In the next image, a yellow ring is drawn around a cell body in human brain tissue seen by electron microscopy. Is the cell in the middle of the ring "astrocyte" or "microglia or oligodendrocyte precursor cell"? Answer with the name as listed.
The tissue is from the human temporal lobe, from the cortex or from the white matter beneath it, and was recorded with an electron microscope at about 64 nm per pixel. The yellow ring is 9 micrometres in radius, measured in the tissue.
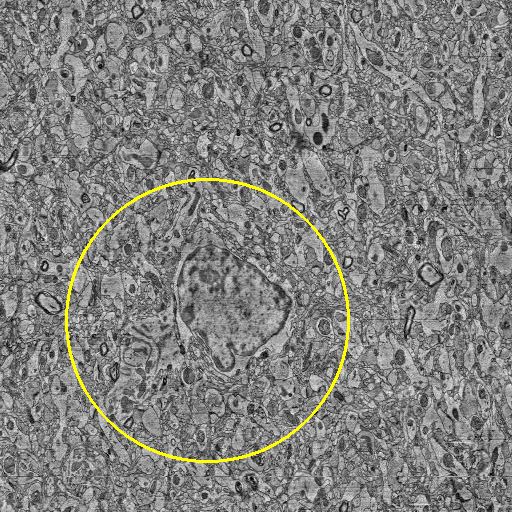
microglia or oligodendrocyte precursor cell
